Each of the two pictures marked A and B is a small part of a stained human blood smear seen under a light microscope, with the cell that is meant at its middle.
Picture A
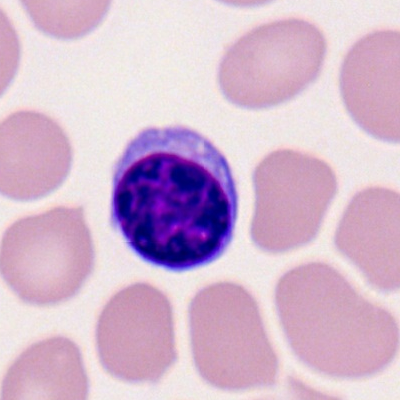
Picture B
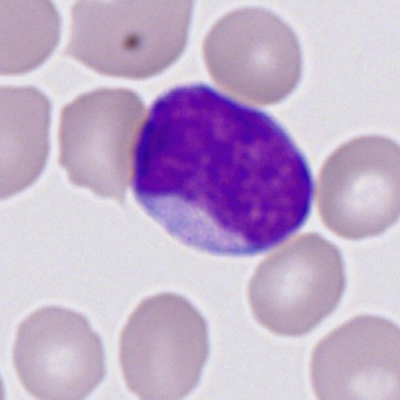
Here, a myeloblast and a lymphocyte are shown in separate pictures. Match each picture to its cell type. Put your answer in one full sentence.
Picture A shows a lymphocyte and picture B shows a myeloblast.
